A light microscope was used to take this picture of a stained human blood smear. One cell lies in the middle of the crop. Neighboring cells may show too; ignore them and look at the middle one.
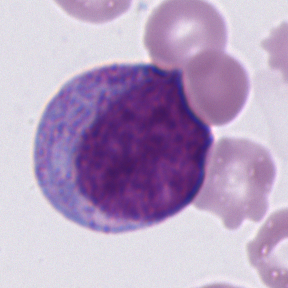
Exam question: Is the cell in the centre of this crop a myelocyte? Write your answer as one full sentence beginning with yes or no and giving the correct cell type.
No, it is not a myelocyte that sits at the centre but a promyelocyte.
